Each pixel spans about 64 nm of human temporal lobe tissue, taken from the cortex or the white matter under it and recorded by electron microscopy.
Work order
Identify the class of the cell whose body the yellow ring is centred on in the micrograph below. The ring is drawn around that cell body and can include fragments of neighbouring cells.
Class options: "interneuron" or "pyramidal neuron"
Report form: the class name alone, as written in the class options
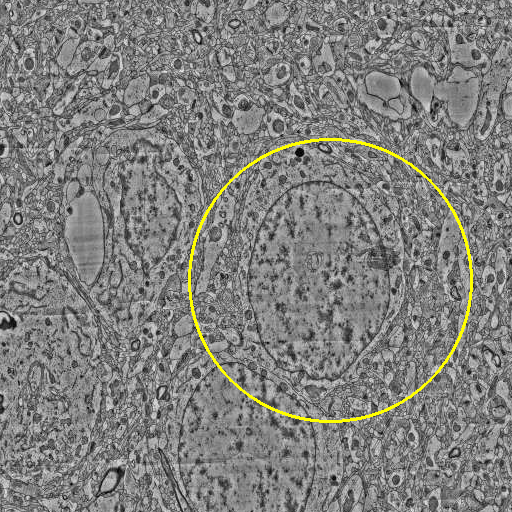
pyramidal neuron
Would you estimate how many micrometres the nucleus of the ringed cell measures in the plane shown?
About 13 by 10 micrometres in this plane.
